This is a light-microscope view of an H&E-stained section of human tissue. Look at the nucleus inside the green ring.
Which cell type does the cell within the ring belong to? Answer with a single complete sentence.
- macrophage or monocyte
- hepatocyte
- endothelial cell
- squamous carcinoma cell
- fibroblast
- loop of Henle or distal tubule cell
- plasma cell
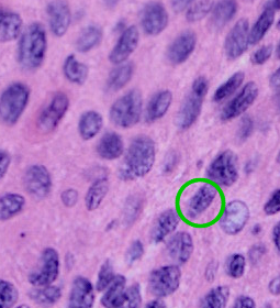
Recorded by type, the cell within the ring is a squamous carcinoma cell.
